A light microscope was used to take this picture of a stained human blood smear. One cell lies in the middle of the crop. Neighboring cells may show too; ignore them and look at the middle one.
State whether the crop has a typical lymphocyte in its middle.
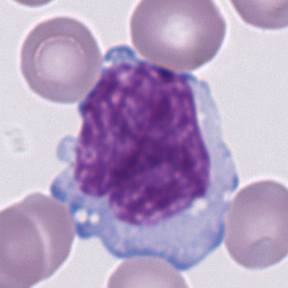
no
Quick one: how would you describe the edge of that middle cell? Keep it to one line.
An irregular outline, ragged or marked by projections, surrounds this cell.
